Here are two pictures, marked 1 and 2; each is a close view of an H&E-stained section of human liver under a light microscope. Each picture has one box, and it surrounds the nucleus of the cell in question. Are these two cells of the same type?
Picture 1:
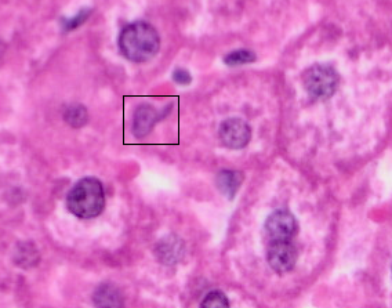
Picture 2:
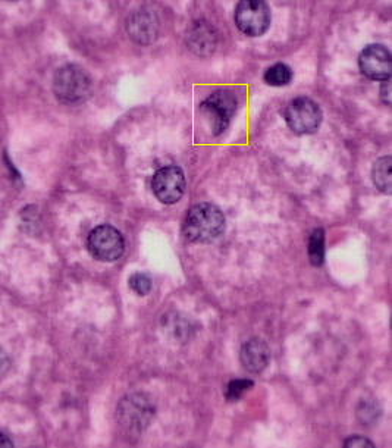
yes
